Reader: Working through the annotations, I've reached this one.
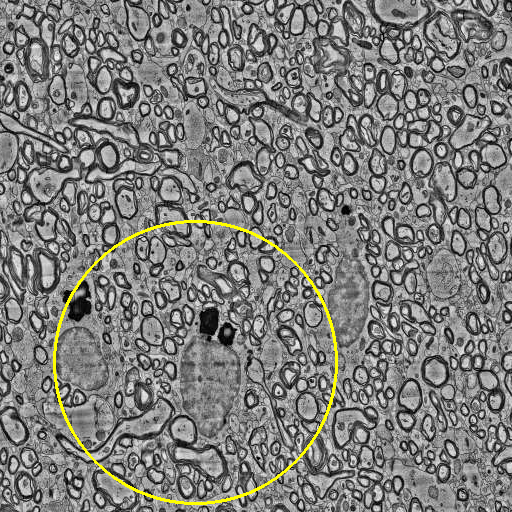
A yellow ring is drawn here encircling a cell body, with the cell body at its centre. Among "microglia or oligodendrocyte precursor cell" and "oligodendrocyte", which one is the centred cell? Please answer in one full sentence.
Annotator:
The cell body at the centre of the yellow ring in this image belongs to an oligodendrocyte.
